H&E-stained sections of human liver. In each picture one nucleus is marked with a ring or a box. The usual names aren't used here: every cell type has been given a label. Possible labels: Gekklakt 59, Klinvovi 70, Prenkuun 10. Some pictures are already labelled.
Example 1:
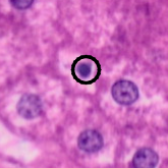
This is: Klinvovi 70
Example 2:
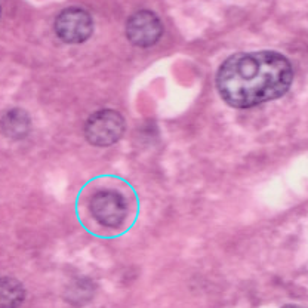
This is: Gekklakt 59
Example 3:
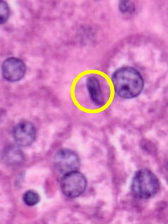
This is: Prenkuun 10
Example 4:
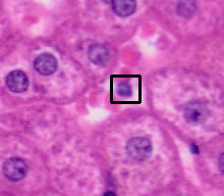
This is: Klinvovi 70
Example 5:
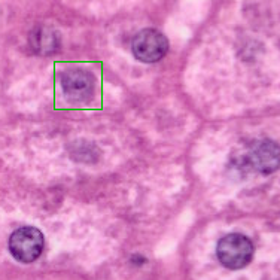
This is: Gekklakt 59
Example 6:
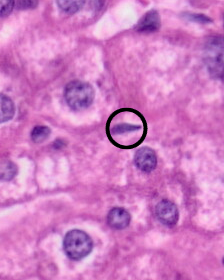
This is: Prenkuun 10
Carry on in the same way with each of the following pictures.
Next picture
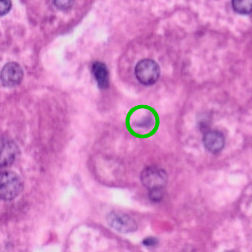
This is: Prenkuun 10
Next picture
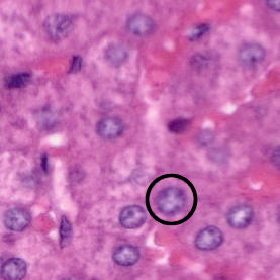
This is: Gekklakt 59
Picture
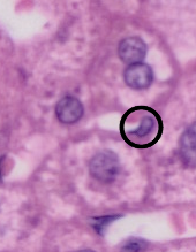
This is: Prenkuun 10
